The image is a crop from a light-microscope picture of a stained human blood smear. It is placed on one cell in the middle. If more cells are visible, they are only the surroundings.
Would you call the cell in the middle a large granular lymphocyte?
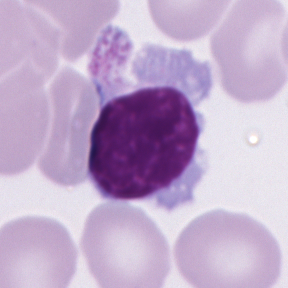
yes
